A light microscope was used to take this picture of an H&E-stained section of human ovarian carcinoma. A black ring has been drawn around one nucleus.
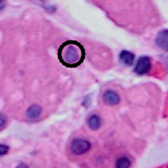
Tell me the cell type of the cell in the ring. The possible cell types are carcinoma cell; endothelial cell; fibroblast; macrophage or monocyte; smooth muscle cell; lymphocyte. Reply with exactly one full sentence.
To be brief about it, the cell in the ring is a smooth muscle cell.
